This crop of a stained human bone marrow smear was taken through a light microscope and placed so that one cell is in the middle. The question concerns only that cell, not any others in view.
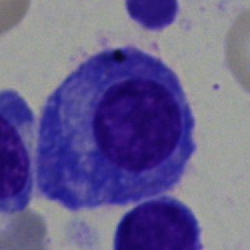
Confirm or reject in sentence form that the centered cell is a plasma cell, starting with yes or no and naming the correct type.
Yes, the crop is centred on a plasma cell.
